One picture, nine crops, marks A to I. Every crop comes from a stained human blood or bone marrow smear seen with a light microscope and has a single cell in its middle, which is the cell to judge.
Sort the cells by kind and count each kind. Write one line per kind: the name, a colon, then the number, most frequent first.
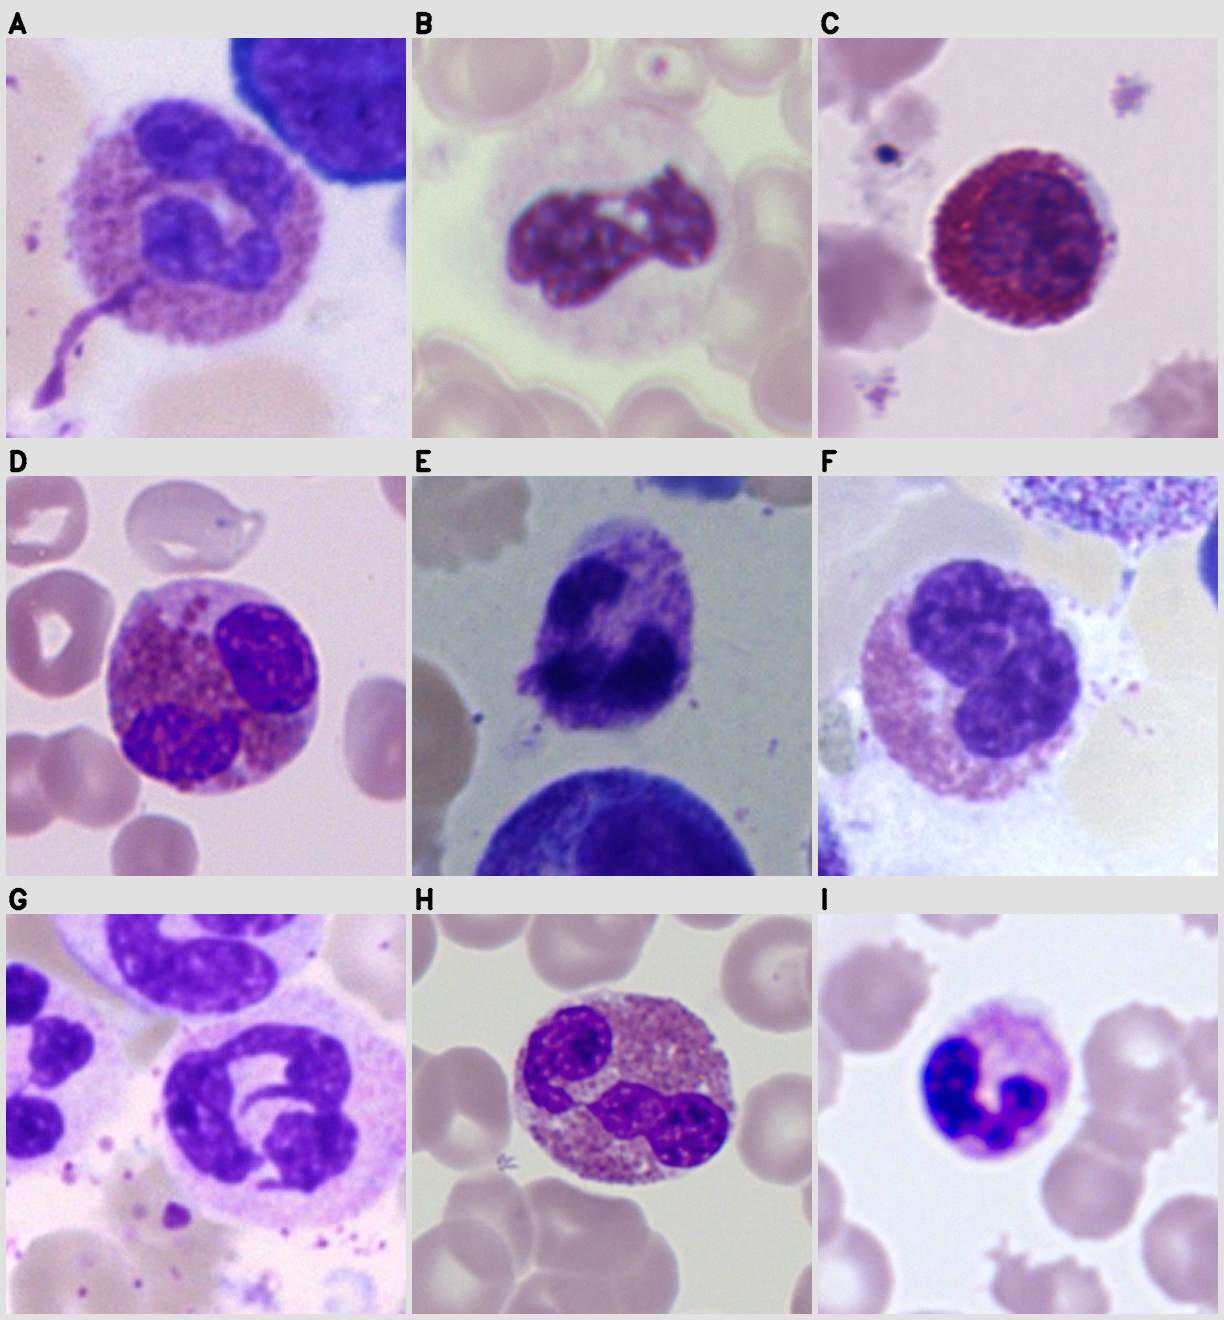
eosinophil: 5
neutrophil: 4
